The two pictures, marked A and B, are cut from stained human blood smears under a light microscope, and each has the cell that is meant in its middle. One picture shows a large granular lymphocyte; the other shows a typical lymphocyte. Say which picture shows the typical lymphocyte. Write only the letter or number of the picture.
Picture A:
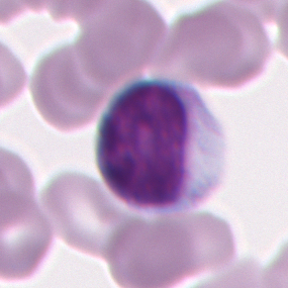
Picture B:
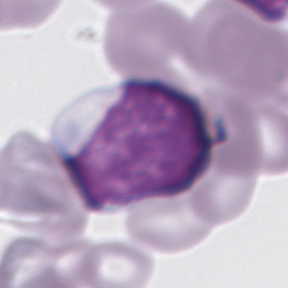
A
